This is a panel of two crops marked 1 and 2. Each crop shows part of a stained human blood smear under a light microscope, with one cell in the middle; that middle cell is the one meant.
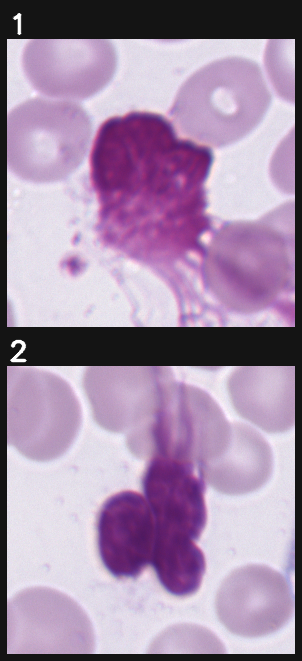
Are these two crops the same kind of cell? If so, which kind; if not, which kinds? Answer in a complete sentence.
Yes, it is smudge cells that occupy the middle of both crops.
